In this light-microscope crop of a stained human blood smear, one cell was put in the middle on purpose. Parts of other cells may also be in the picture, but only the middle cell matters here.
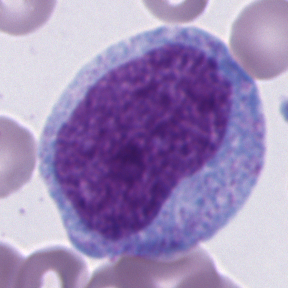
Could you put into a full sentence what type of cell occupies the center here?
In the crop, the cell of interest at the centre is a promyelocyte.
